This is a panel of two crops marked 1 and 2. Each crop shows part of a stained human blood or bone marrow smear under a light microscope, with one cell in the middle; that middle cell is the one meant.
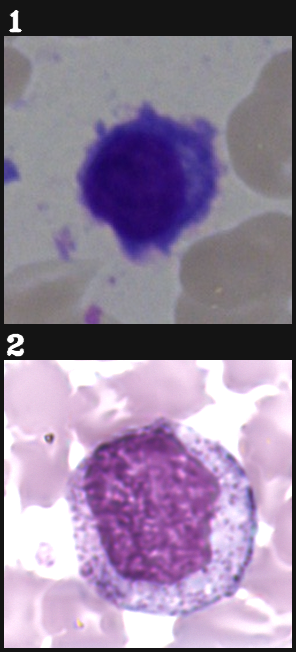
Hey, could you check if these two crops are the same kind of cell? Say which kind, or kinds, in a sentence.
No, crop 1 contains a plasma cell, and crop 2 contains a myelocyte.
